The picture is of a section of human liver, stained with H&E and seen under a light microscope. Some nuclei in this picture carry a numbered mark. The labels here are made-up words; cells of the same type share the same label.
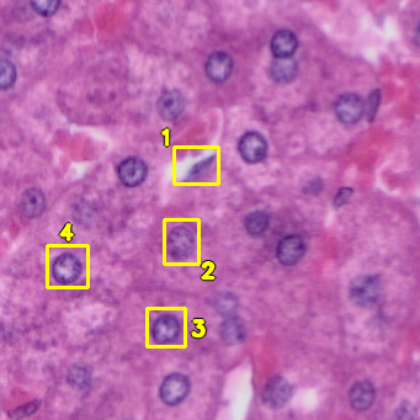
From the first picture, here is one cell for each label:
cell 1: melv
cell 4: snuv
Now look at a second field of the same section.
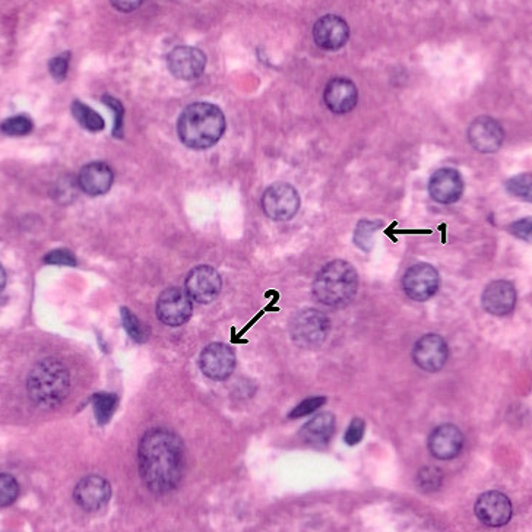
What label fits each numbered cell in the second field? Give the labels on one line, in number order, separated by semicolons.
melv; snuv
